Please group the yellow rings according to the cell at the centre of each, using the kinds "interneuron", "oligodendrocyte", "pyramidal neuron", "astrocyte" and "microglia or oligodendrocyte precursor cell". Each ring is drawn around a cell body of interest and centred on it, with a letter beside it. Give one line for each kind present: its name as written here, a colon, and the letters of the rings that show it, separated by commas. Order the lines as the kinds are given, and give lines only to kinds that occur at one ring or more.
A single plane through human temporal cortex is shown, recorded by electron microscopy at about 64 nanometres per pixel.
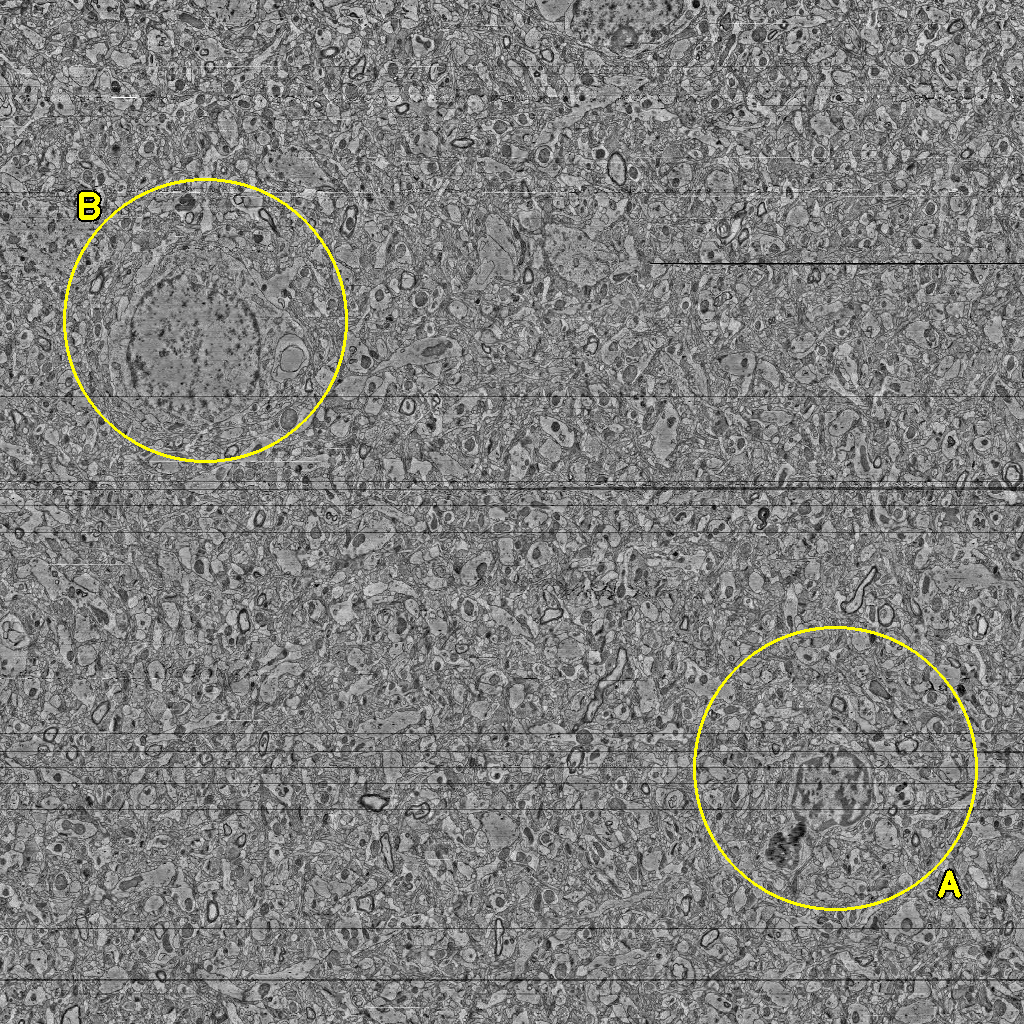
interneuron: B
microglia or oligodendrocyte precursor cell: A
